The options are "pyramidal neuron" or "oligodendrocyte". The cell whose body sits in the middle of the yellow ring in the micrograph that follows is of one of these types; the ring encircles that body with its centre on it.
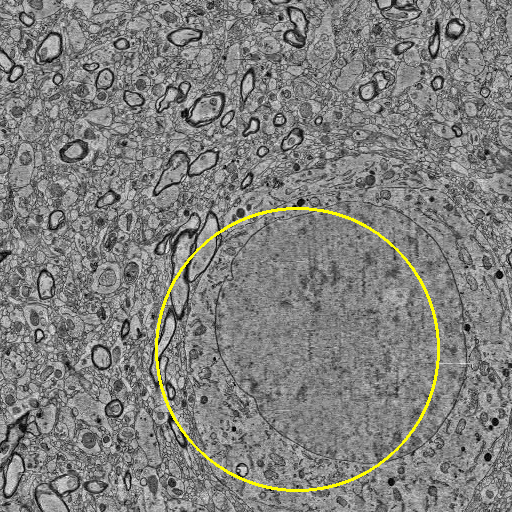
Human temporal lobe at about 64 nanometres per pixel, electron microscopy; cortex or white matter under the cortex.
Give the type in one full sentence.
Going by the micrograph, the cell centred in the yellow ring is a pyramidal neuron.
